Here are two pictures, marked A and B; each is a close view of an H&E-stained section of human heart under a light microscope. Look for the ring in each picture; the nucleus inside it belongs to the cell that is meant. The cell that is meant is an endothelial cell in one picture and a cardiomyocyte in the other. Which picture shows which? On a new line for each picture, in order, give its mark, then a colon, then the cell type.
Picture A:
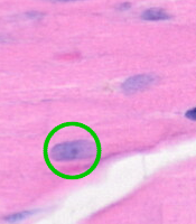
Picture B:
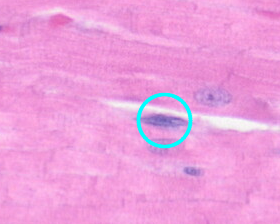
A: cardiomyocyte
B: endothelial cell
